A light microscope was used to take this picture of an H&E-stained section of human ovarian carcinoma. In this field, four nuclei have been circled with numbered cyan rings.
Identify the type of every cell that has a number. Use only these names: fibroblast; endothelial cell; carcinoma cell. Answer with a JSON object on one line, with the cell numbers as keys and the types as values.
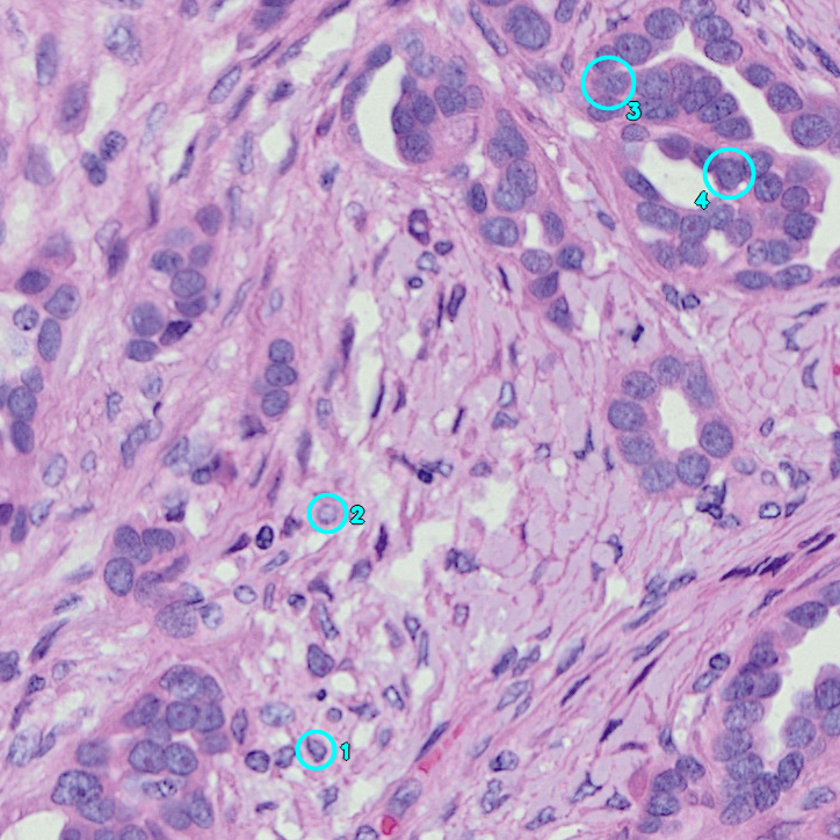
{"1": "fibroblast", "2": "fibroblast", "3": "carcinoma cell", "4": "carcinoma cell"}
